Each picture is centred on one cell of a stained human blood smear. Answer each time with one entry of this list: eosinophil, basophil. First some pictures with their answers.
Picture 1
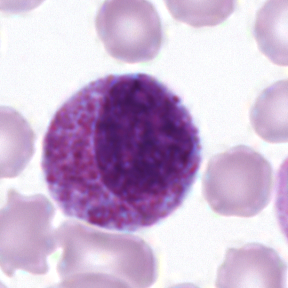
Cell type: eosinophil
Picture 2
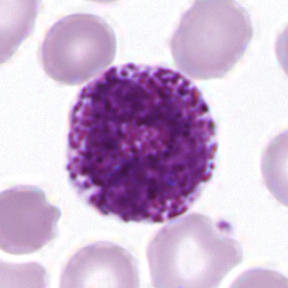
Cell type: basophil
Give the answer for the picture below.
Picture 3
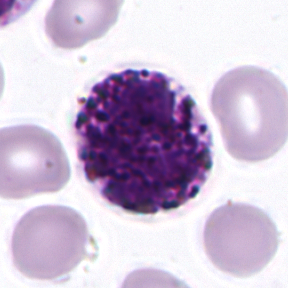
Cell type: basophil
